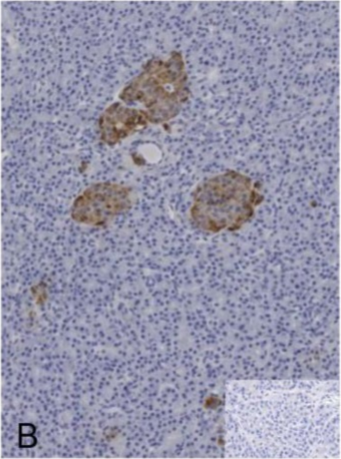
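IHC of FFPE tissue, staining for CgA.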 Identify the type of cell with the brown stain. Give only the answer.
islet cells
